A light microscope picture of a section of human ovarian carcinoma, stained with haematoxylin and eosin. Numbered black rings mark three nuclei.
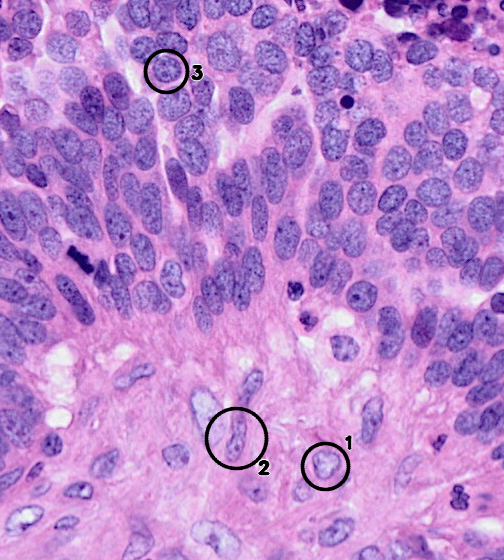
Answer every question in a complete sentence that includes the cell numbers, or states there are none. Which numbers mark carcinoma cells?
Cell 3, and no other numbered cell, is a carcinoma cell.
